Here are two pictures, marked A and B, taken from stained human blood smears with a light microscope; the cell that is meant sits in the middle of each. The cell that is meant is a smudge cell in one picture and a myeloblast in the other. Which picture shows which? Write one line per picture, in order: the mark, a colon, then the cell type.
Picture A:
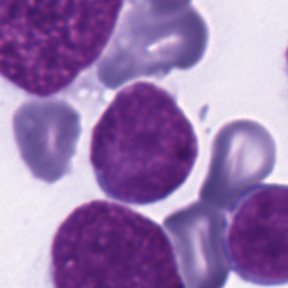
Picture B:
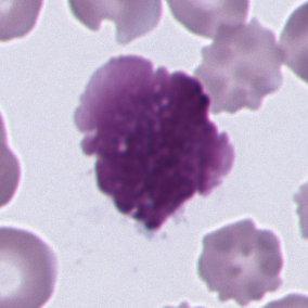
A: myeloblast
B: smudge cell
